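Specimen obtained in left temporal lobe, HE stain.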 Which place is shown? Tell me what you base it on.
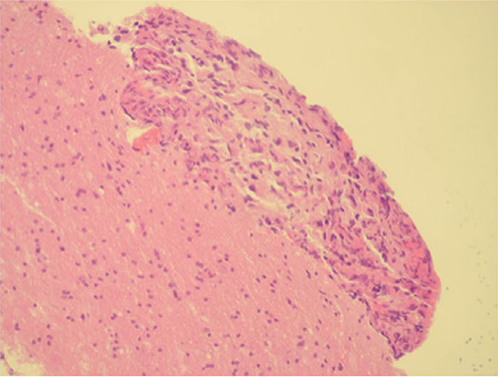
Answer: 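A dense band of crowded cells lies along the free surface of the tissue. Paler, sparsely cellular parenchyma lies beneath the band. The answer: along the cerebral meninges.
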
